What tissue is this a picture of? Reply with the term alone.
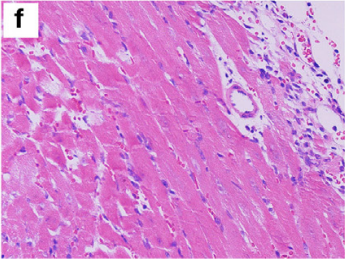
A: Heart.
